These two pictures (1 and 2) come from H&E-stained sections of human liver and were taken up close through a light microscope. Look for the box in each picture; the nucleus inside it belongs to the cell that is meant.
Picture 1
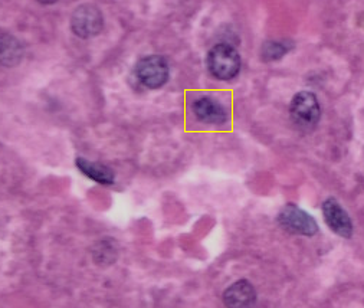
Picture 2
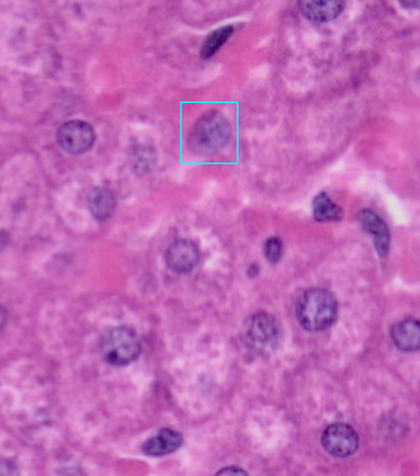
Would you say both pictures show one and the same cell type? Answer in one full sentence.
No. Picture 1 shows a “fibroblast or stellate cell”, but picture 2 shows an endothelial cell.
